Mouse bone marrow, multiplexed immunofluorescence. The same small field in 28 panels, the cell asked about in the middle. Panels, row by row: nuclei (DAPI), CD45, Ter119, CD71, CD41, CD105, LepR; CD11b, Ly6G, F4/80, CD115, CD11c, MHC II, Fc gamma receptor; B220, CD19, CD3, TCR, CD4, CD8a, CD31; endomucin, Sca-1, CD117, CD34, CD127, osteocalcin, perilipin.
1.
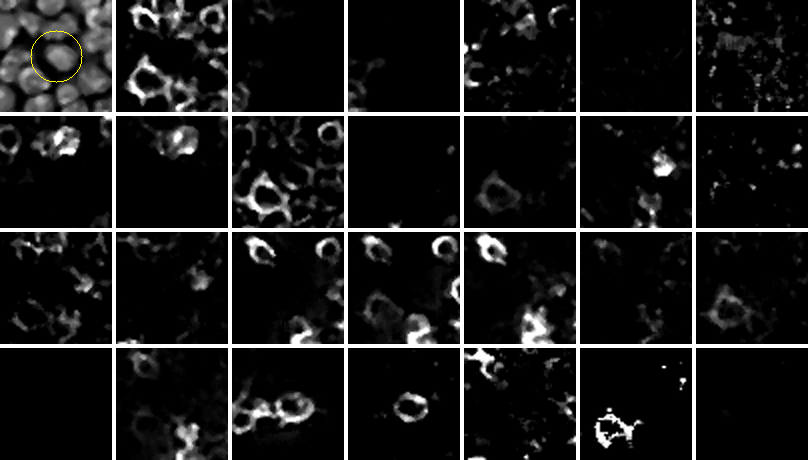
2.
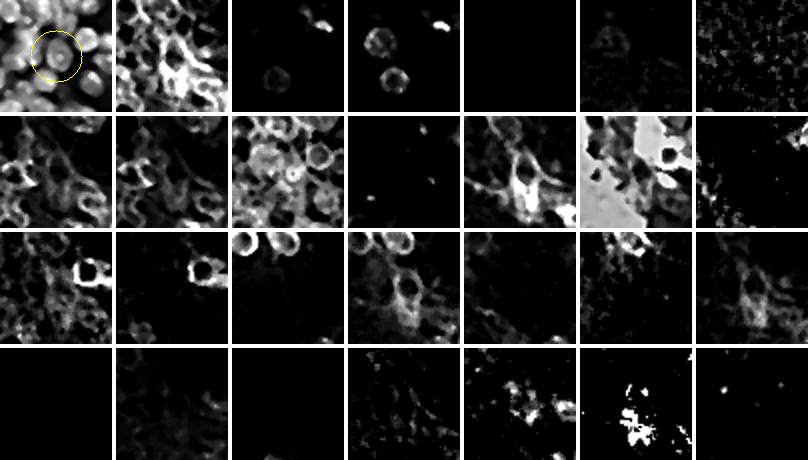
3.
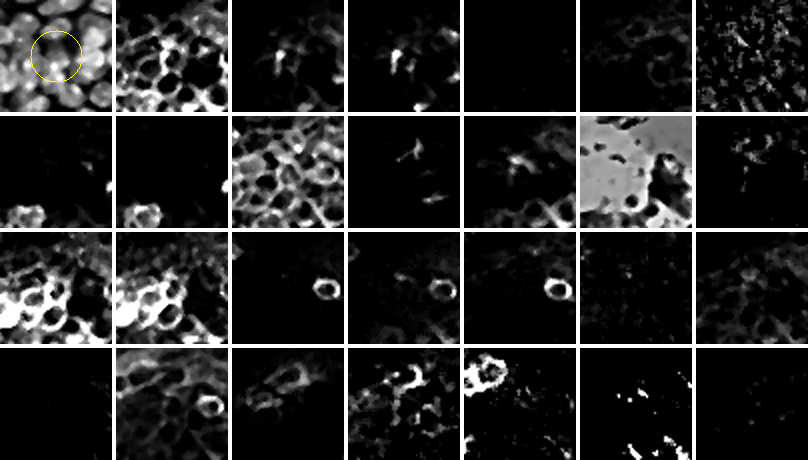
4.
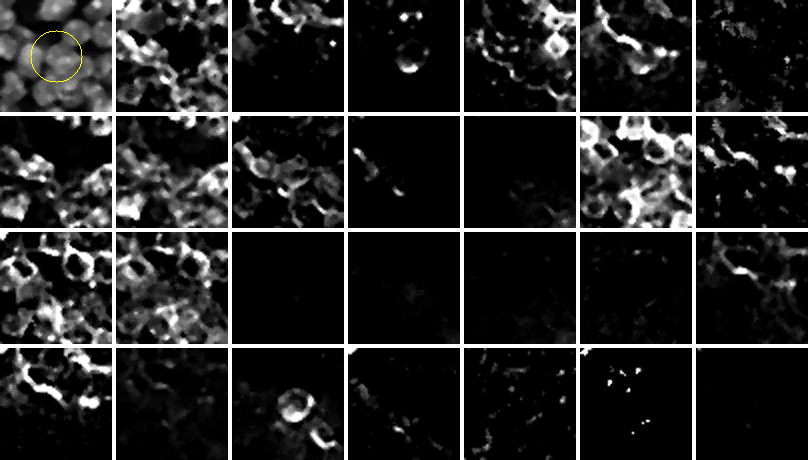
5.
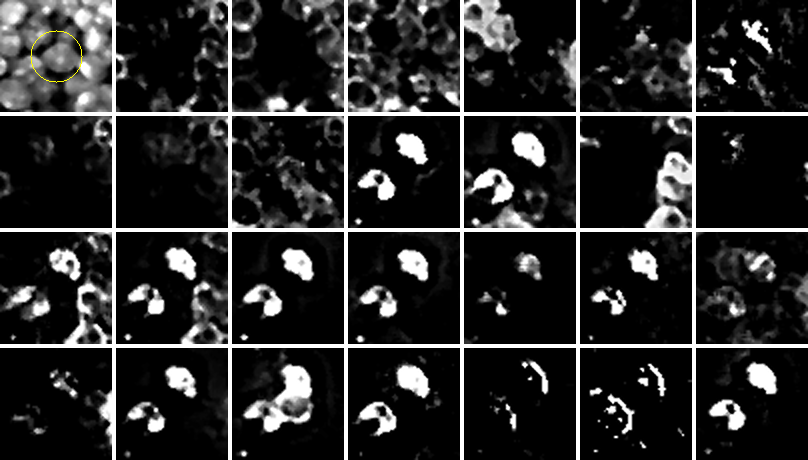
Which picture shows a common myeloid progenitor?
Picture 1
